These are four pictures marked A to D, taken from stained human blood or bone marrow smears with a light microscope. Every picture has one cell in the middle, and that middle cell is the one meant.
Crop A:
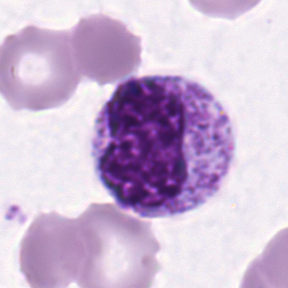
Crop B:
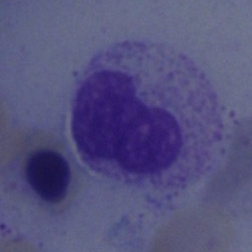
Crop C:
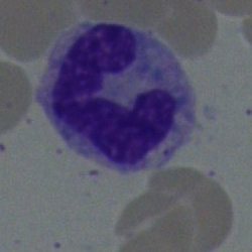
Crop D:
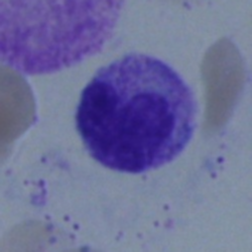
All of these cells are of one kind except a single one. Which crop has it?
C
